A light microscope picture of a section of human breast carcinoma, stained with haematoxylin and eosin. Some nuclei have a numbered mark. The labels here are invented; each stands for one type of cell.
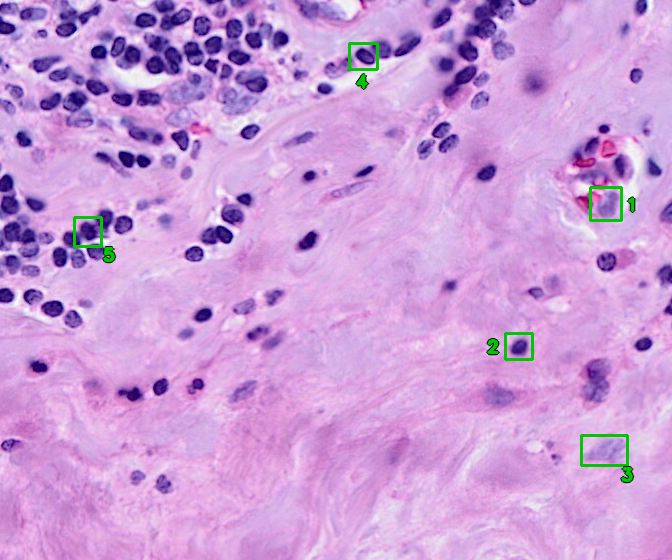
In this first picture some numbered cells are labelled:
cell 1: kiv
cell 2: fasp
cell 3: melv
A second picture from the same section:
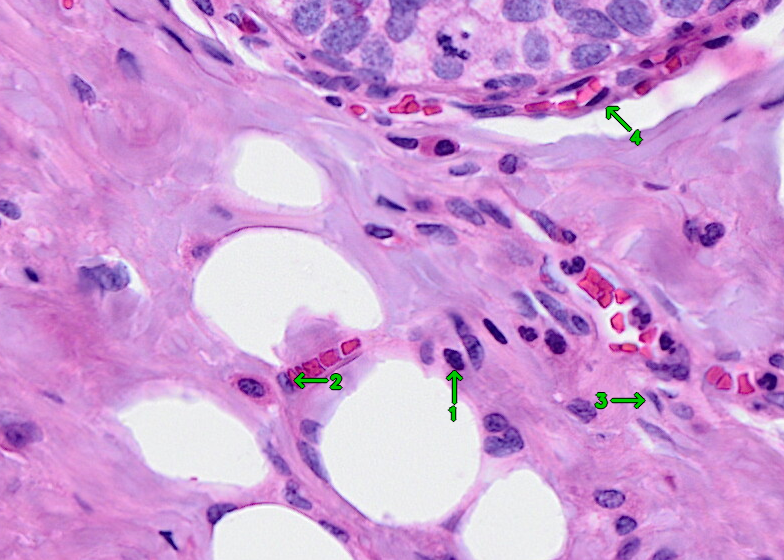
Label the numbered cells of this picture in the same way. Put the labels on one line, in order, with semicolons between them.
fasp; kiv; melv; kiv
